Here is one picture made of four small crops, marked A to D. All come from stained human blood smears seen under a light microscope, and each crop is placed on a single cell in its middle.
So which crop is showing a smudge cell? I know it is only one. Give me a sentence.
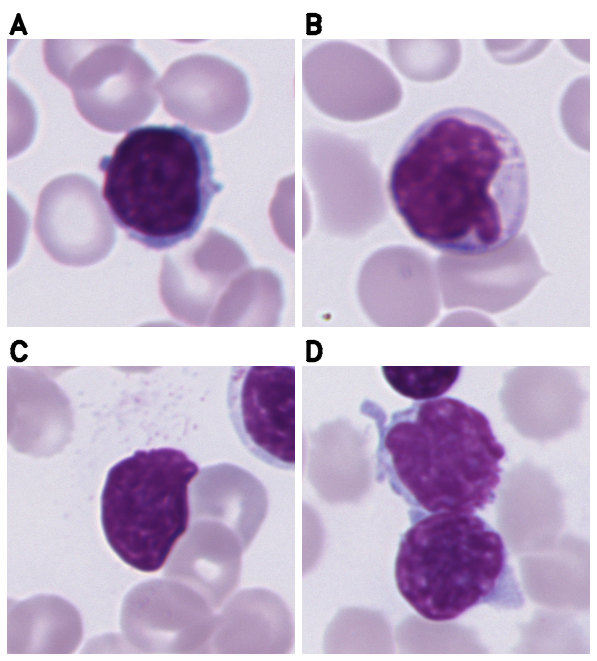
The one showing a smudge cell is crop C.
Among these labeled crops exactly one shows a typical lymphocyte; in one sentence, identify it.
The one crop that shows a typical lymphocyte is crop A.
